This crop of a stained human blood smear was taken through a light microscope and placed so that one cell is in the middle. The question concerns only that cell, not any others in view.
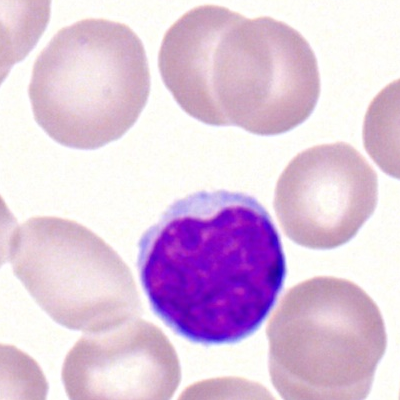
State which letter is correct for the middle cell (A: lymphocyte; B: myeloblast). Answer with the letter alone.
A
